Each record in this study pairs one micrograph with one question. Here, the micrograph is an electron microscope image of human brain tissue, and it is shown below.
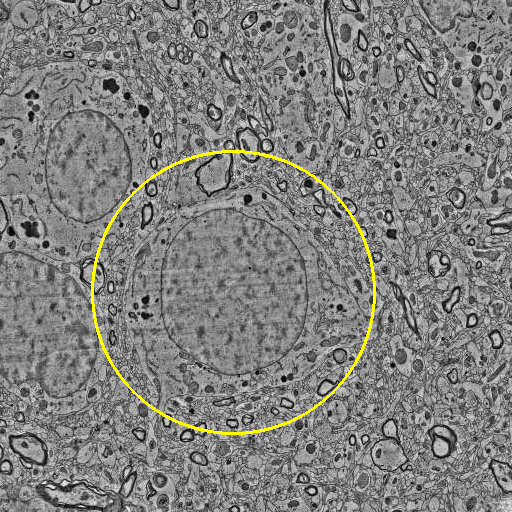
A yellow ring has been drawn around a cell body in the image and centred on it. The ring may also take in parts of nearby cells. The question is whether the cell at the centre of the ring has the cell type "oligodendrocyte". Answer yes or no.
no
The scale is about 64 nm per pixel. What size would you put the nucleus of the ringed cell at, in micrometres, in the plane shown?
The ringed cell's nucleus is about 10 micrometres across in this plane.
